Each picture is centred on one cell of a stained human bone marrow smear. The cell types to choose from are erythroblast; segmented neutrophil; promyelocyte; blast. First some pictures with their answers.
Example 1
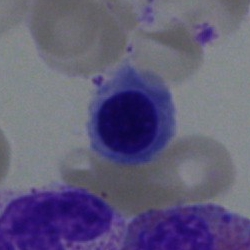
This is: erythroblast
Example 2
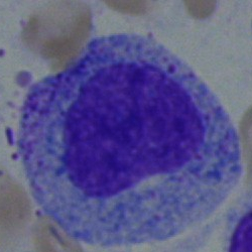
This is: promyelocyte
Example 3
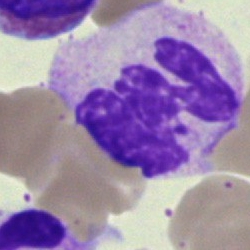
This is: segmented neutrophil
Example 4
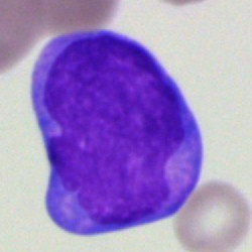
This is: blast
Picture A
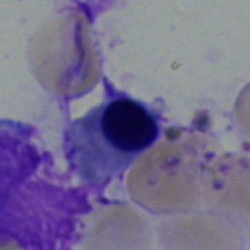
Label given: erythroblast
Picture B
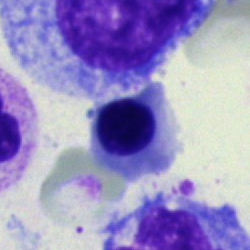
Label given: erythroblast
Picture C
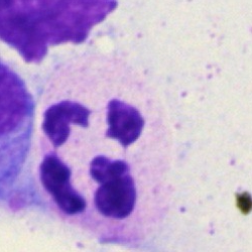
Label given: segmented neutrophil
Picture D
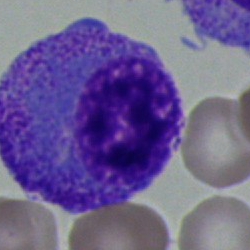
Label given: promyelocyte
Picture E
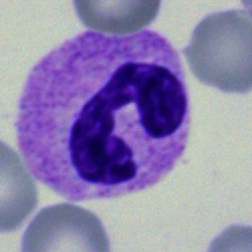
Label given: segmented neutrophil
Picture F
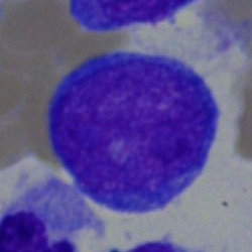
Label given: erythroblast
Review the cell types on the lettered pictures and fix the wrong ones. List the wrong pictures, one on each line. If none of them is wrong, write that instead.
F: change erythroblast to blast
